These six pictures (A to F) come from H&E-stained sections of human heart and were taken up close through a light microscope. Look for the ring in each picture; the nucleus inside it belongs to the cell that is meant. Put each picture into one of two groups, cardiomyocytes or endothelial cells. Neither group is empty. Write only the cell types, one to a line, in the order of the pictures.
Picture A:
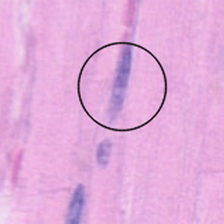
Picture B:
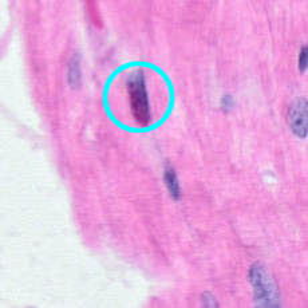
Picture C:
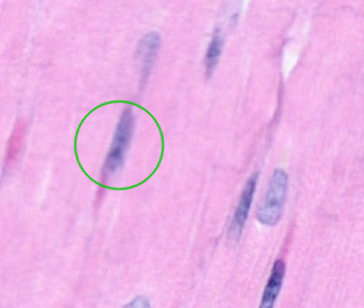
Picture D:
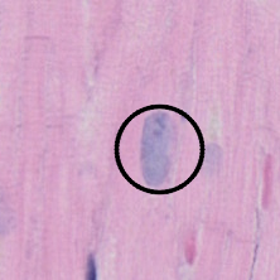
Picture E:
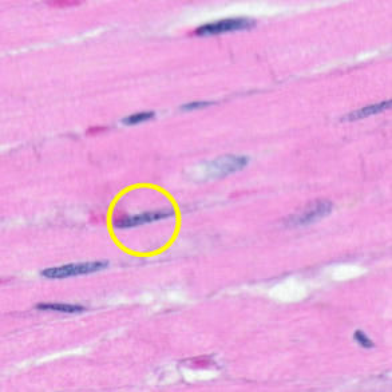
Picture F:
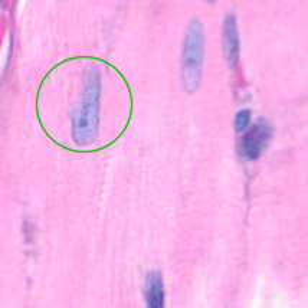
endothelial cell
endothelial cell
endothelial cell
cardiomyocyte
endothelial cell
cardiomyocyte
